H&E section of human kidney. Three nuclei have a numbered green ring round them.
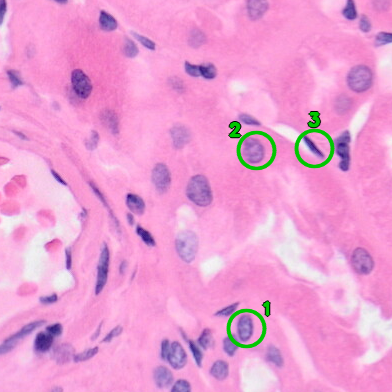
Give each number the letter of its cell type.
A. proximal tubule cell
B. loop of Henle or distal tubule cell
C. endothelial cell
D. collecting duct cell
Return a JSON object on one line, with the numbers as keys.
{"1": "D", "2": "A", "3": "C"}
